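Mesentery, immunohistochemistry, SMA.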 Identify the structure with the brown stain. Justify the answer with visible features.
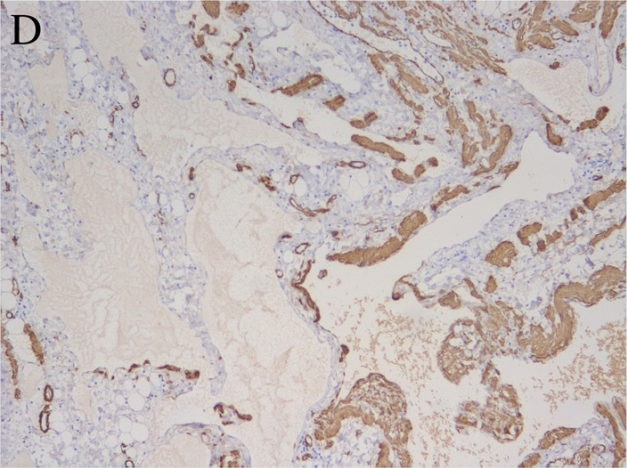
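Vessels with thick wall. Thick brown bands lie in the walls of some of the spaces. Small round vessels have brown rings. Many thin septa are unstained.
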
